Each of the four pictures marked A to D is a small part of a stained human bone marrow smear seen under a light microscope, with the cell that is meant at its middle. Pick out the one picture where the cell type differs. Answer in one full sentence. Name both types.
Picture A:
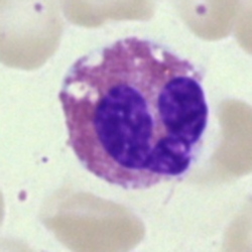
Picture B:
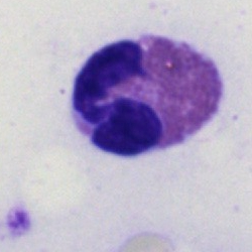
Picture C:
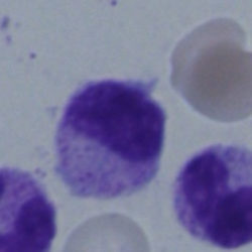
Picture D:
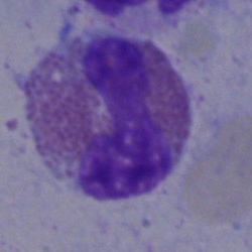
The others show eosinophils, but picture C shows a metamyelocyte.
